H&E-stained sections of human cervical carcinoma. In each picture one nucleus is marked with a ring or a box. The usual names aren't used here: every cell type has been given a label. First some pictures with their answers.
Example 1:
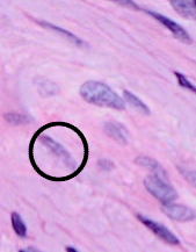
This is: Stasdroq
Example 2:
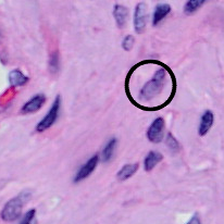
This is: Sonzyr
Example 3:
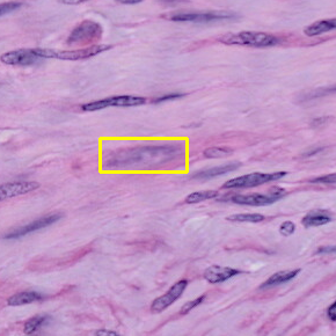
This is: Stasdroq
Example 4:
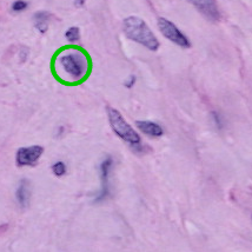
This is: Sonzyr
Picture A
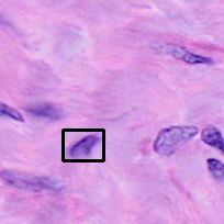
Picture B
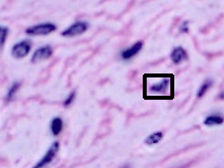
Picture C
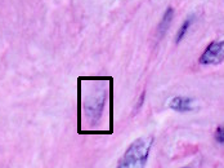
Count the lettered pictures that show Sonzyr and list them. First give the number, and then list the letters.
Count: 1 (A)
